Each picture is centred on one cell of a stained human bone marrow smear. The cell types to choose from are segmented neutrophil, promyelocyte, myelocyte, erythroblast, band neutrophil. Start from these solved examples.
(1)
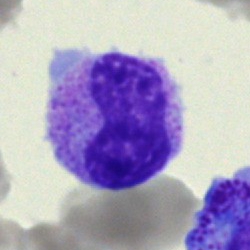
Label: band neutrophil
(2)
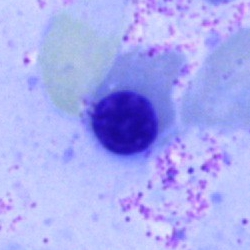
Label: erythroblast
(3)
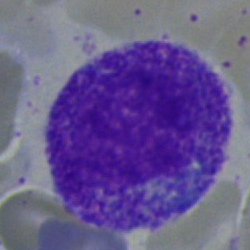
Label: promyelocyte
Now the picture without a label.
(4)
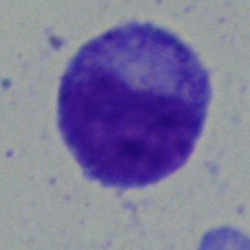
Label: myelocyte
